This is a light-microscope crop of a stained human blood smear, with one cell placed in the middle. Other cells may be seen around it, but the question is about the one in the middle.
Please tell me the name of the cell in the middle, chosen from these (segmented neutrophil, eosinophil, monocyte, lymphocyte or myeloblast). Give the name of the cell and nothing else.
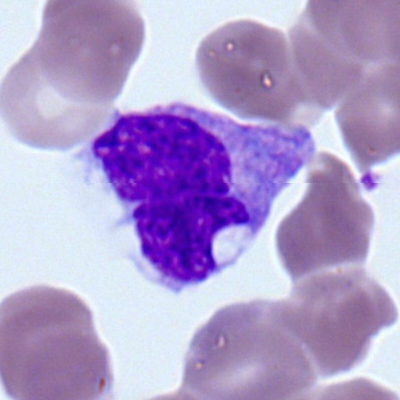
monocyte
